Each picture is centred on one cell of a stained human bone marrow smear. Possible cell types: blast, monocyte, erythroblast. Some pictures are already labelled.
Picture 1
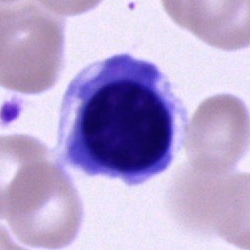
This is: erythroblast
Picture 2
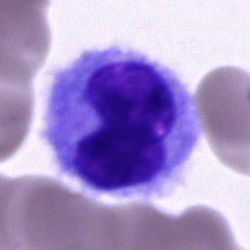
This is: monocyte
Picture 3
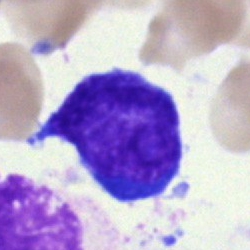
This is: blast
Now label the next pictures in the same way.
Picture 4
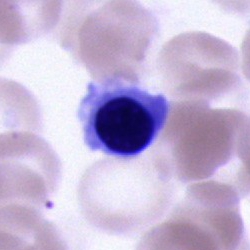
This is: erythroblast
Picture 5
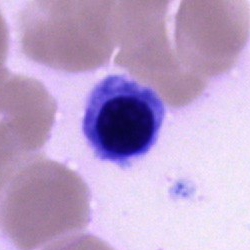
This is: erythroblast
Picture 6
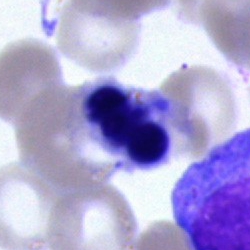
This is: erythroblast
